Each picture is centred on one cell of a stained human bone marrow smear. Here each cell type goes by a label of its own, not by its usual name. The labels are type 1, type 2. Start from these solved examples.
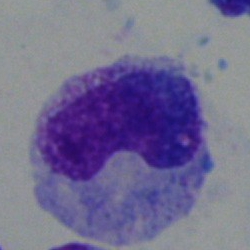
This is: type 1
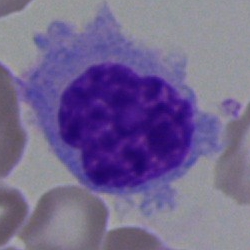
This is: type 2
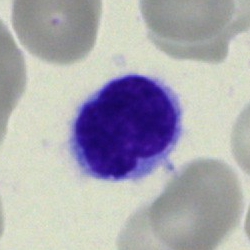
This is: type 2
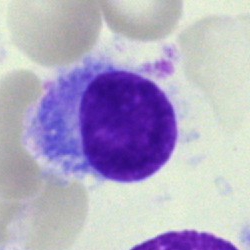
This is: type 2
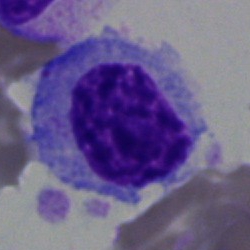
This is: type 2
